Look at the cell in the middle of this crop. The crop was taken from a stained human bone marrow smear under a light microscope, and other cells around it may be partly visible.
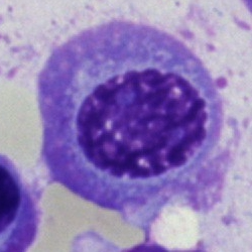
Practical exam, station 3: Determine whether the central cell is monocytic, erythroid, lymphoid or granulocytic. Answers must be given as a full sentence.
Of the possible lineages, the central cell belongs to the lymphoid lineage.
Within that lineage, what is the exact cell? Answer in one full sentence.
The cell nearest the centre of this crop is a plasma cell.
